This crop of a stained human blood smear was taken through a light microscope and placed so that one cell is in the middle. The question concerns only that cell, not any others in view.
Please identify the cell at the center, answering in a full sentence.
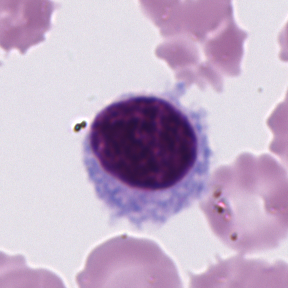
Within this crop, a hairy cell occupies the central position.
